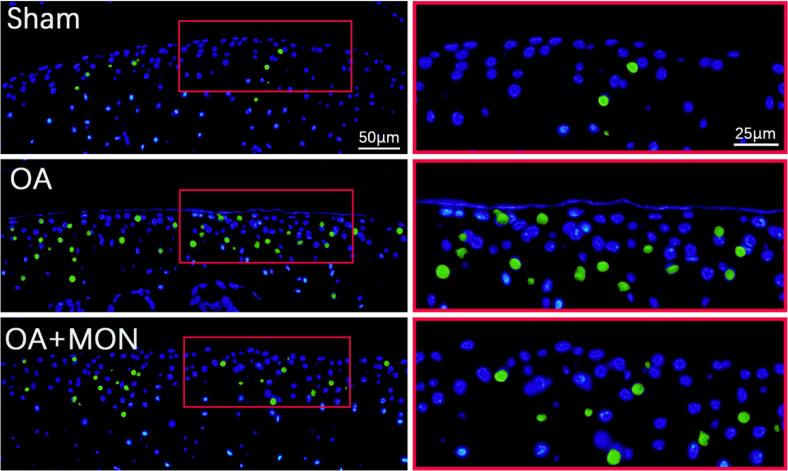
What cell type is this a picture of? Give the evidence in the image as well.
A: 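The cells sit in a layer beneath a smooth, continuous tissue surface. That points to this answer: chondrocyte.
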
